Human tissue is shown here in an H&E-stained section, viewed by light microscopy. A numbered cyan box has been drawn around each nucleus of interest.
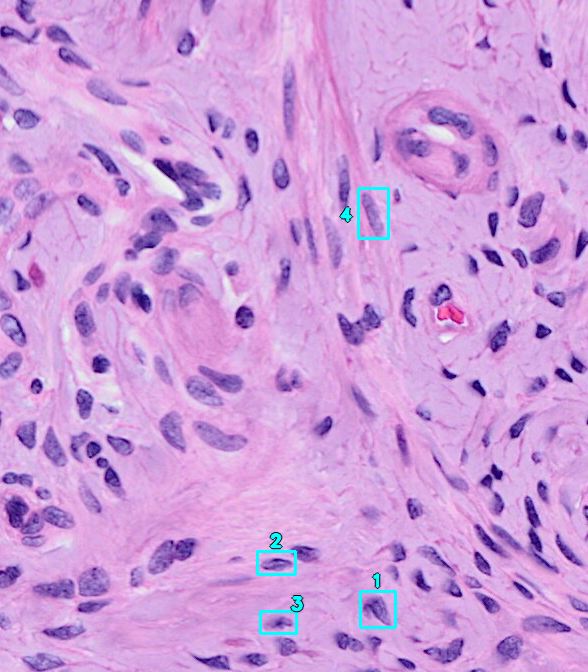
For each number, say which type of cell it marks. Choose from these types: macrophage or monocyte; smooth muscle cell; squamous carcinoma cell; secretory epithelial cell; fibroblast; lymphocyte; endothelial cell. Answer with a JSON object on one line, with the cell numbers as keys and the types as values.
{"1": "fibroblast", "2": "fibroblast", "3": "fibroblast", "4": "smooth muscle cell"}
